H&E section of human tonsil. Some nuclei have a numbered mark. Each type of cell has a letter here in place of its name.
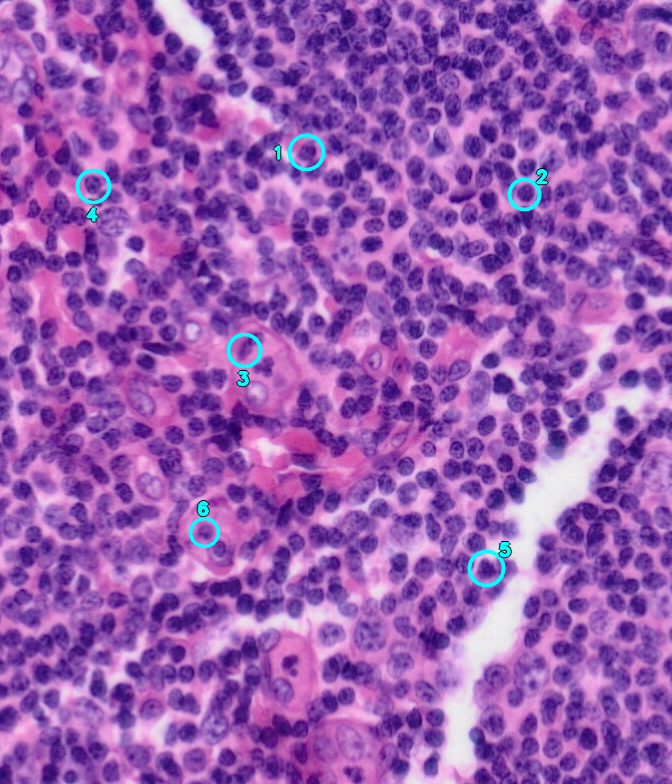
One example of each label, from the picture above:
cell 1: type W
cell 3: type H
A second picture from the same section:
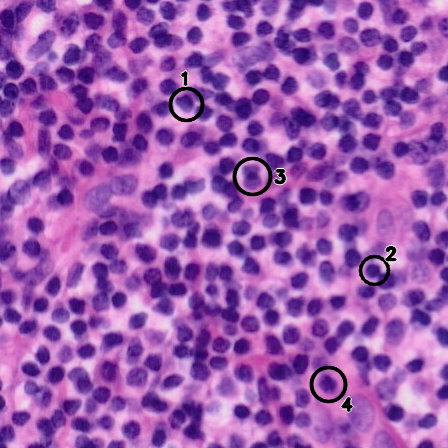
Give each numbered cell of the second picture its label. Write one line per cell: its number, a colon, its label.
1: type W
2: type W
3: type W
4: type H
